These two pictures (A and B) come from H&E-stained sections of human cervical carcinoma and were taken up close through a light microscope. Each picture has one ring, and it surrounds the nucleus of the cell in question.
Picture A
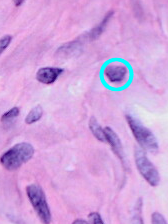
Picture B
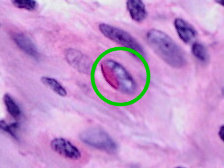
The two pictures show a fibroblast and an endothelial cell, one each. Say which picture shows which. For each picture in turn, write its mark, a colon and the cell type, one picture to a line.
A: fibroblast
B: endothelial cell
